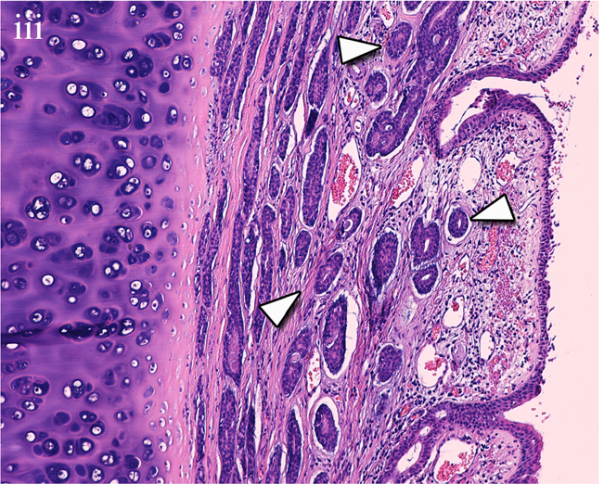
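This is a section of the airway wall in which the connective tissue is extensively infiltrated by groups of tumour cells arranged in a pseudo-glandular pattern. On the left lies hyaline cartilage, with chondrocytes sitting in lacunae within a purple matrix. On the right, a thin surface epithelium covers the wall.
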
